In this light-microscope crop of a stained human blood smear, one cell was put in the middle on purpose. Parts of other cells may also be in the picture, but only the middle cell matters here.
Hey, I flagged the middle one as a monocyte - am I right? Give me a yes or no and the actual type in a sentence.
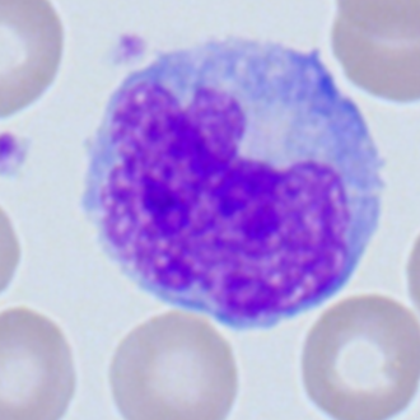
Yes, the cell at the middle of the frame is a monocyte.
